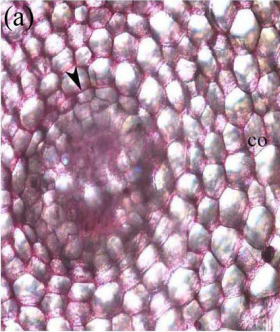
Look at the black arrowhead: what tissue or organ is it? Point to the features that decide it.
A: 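Endodermis. The arrowhead points at a single ring of small cells around the central cylinder. Broad layers of larger rounded cells lie outside that ring.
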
